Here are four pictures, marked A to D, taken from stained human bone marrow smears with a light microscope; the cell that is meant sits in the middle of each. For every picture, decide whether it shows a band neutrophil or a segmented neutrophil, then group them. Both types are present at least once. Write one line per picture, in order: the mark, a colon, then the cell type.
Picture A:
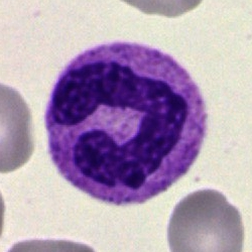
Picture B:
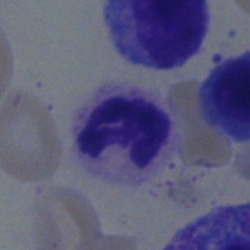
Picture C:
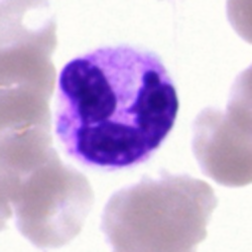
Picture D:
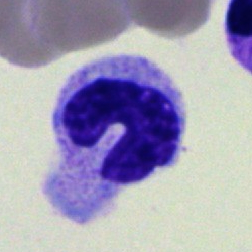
A: segmented neutrophil
B: segmented neutrophil
C: segmented neutrophil
D: band neutrophil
